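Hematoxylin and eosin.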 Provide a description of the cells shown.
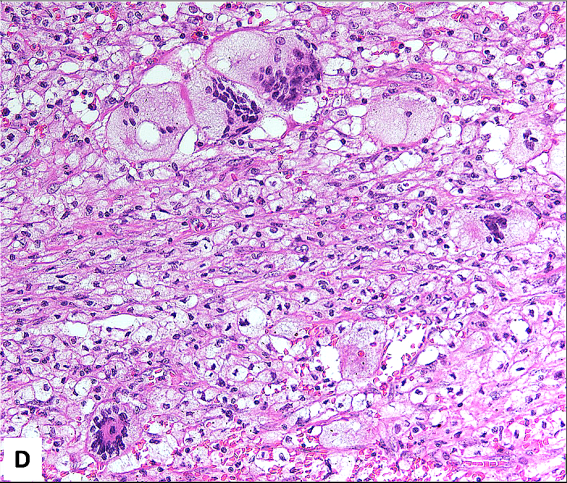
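Section of a histiocytic infiltrate with several Touton giant cells scattered among mononuclear cells. The giant cells are large, with many dark round nuclei gathered into clusters or partial rings, and broad pale, finely foamy to vacuolated cytoplasm. Around them lie numerous smaller cells with round to oval nuclei and clear or bubbly cytoplasm, loosely spaced in a pale pink fibrillar background. Some regions show elongated cells aligned in streams. No organised normal layering is present; the field is a diffuse cellular infiltrate.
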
